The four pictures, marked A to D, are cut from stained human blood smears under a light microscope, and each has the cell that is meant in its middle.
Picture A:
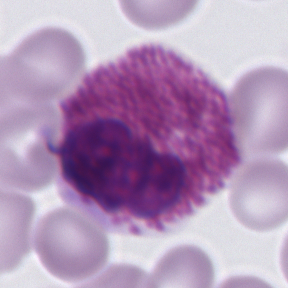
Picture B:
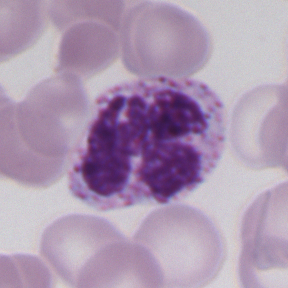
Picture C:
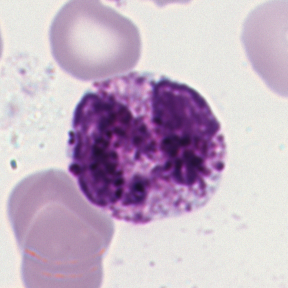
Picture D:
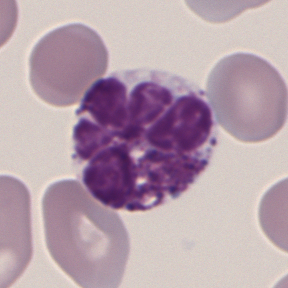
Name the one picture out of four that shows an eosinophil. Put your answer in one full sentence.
The cell in picture A is the eosinophil.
